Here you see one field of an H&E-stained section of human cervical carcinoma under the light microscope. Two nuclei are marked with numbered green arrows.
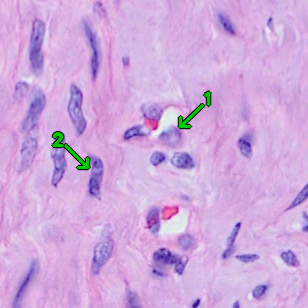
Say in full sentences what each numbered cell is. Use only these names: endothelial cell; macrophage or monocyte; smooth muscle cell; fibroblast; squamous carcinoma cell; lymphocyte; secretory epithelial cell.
Cell 1 is an endothelial cell. Cell 2 is a fibroblast.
